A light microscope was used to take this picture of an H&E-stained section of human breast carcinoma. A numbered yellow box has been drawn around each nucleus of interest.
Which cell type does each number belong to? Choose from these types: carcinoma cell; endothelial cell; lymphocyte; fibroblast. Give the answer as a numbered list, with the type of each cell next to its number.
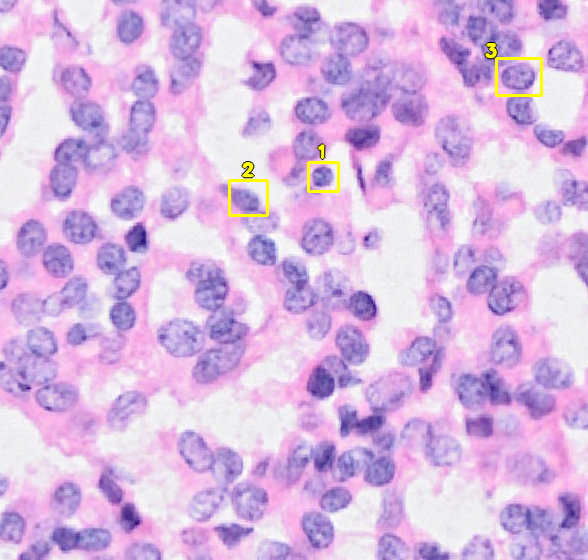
1. lymphocyte
2. carcinoma cell
3. carcinoma cell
